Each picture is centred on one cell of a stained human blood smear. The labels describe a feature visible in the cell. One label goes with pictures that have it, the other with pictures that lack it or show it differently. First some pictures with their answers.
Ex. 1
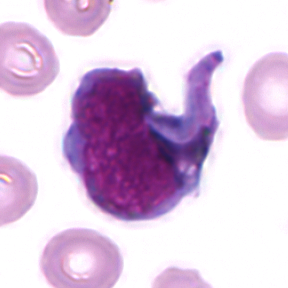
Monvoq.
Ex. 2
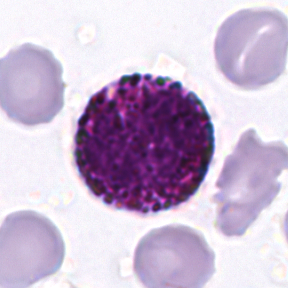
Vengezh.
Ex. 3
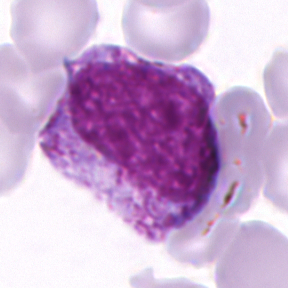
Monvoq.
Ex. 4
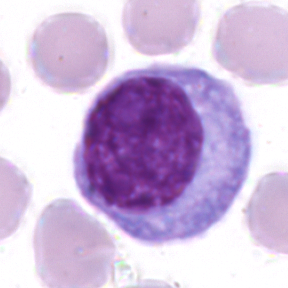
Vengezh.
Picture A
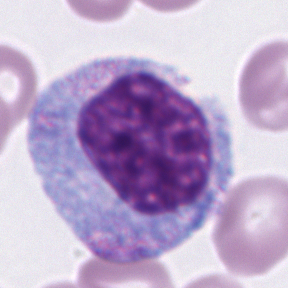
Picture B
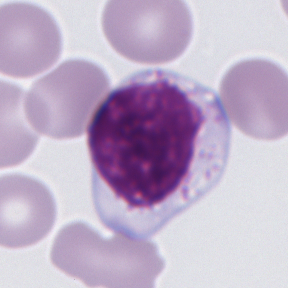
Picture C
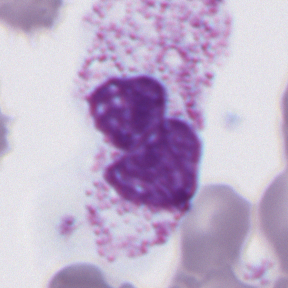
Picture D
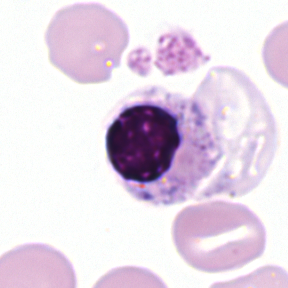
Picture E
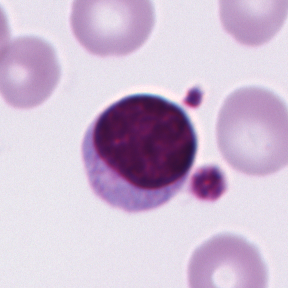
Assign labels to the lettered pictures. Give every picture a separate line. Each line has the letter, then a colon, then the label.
A: Monvoq.
B: Vengezh.
C: Monvoq.
D: Vengezh.
E: Vengezh.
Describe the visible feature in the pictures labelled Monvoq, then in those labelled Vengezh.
Seen in Monvoq: ragged outline or projections; seen in Vengezh: smooth outline.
